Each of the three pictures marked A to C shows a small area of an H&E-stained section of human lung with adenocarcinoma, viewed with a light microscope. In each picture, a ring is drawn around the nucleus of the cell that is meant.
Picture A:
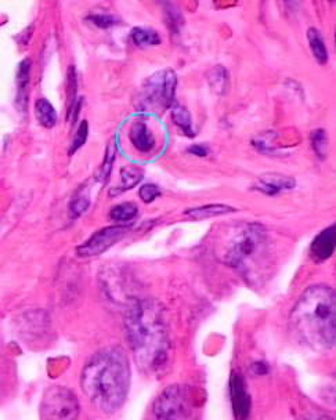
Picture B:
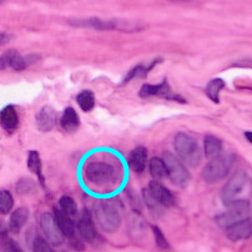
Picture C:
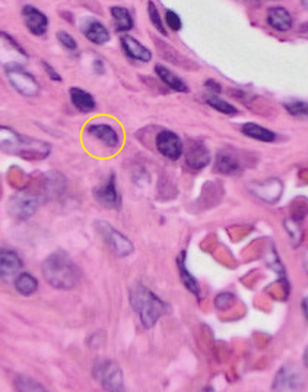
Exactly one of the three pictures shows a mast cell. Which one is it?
C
